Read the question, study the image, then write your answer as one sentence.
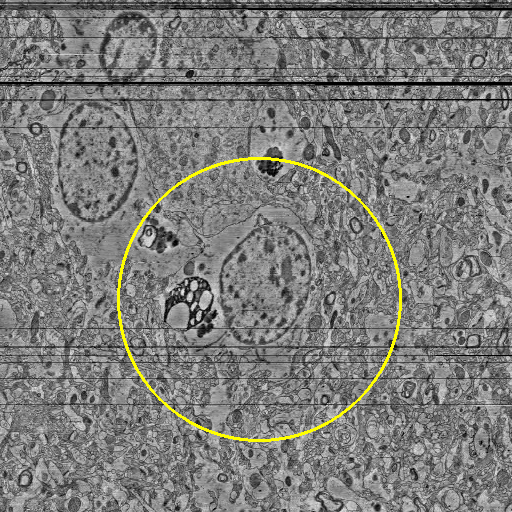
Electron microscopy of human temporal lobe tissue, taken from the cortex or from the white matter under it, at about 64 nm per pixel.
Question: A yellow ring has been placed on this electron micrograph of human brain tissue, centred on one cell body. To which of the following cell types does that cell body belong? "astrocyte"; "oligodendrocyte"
That cell body belongs to an astrocyte.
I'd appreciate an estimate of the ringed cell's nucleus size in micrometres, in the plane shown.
The nucleus of the ringed cell is approximately 8 by 6 micrometres in this plane.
